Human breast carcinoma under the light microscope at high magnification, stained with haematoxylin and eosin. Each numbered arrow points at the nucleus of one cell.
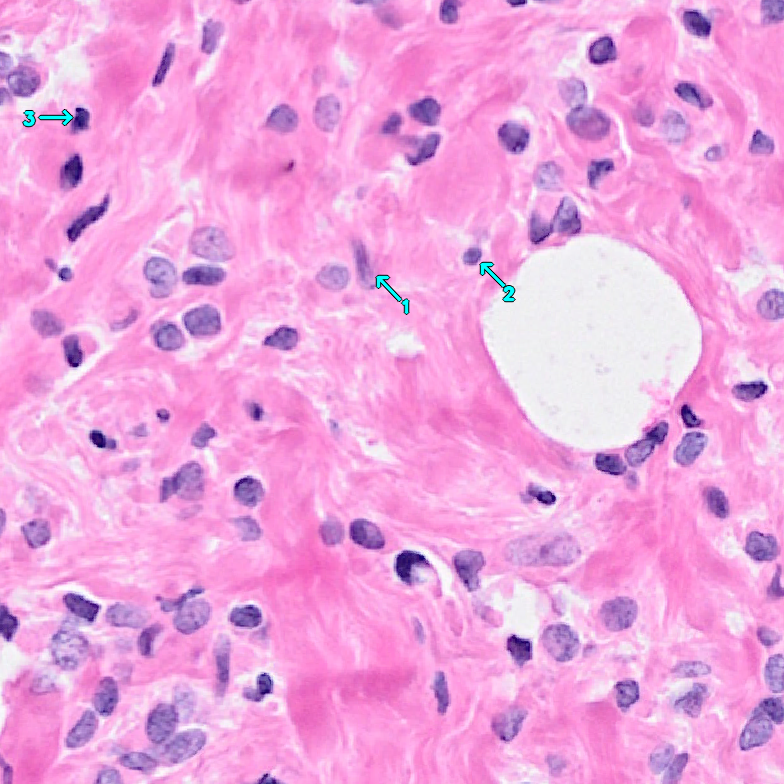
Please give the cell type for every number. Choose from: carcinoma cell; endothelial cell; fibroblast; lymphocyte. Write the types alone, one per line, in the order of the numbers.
fibroblast
lymphocyte
lymphocyte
